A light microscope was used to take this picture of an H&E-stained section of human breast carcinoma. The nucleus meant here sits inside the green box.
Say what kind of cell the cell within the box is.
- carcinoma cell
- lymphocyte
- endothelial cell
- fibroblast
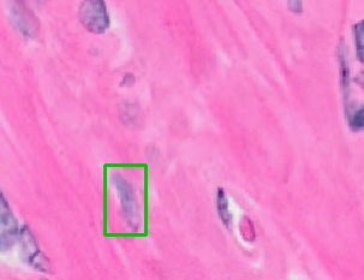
fibroblast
